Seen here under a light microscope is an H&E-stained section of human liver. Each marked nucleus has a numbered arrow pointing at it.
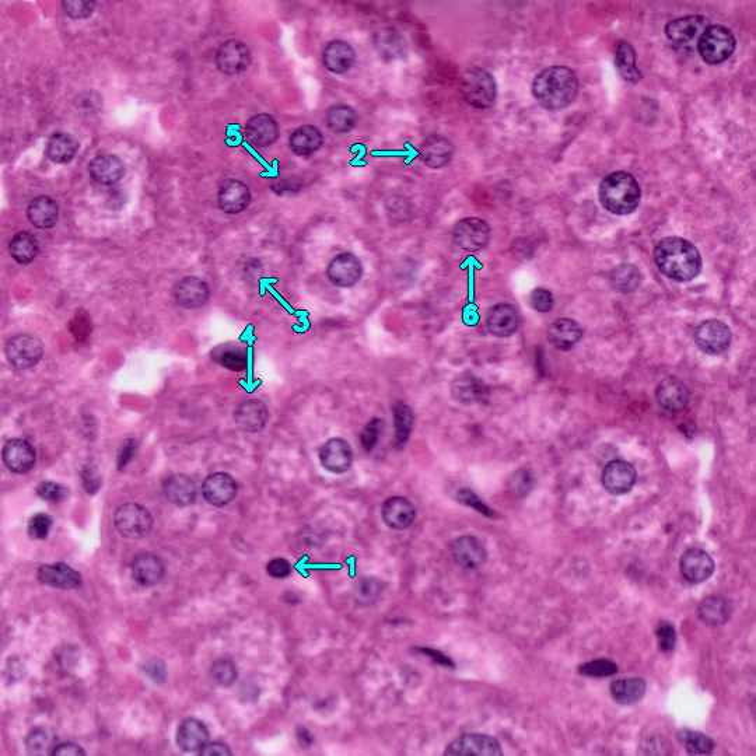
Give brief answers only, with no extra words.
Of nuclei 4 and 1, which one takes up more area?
4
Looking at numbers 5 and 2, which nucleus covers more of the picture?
2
